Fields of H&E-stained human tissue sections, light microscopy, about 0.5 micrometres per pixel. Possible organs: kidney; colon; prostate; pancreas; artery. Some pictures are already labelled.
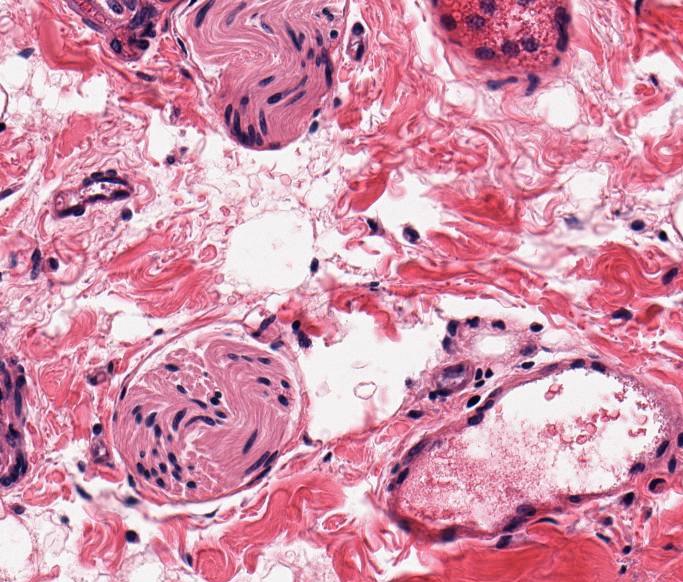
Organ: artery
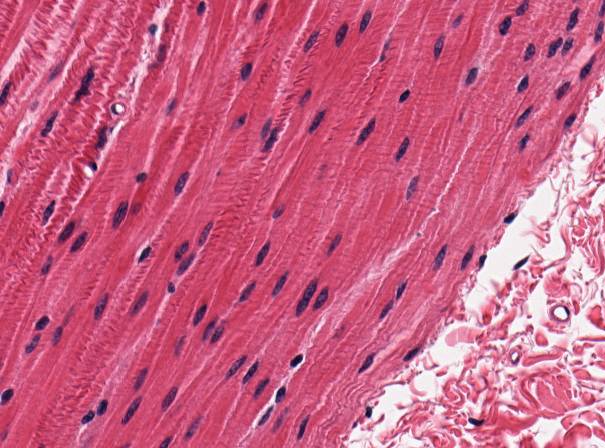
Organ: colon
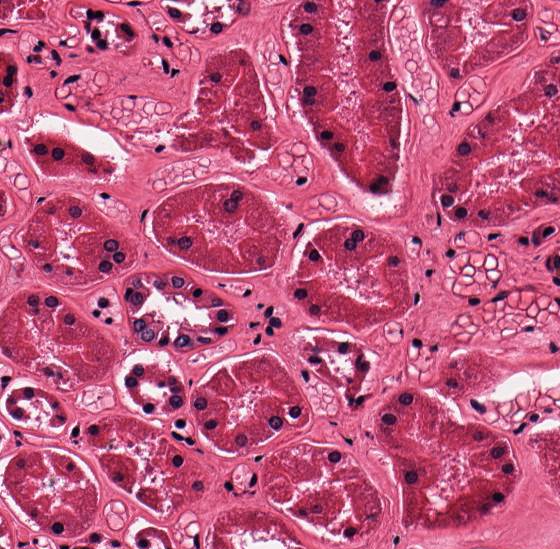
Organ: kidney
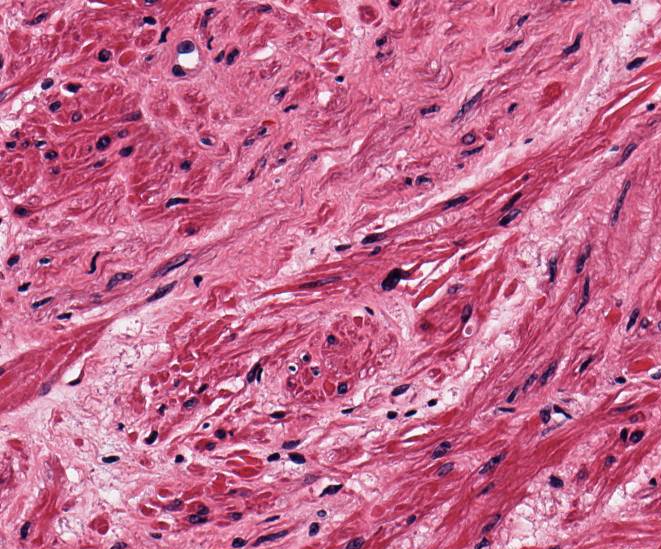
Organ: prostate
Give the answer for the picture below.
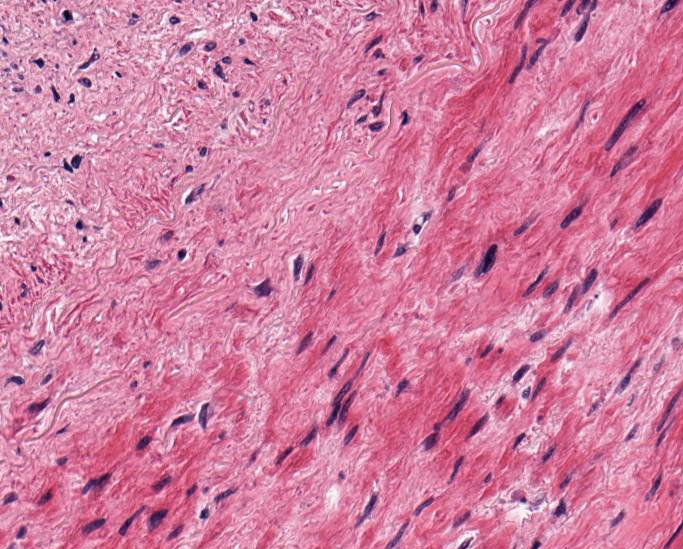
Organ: artery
